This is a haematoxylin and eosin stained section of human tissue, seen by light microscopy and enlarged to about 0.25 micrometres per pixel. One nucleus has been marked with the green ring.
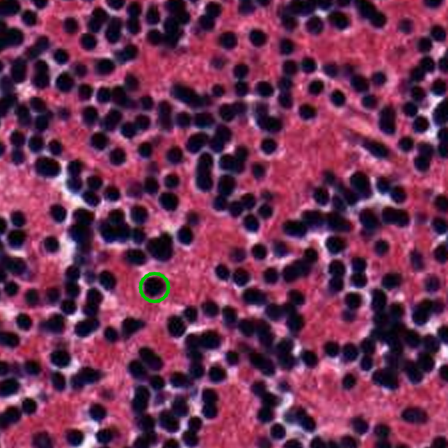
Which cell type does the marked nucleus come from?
cerebellar granule cell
